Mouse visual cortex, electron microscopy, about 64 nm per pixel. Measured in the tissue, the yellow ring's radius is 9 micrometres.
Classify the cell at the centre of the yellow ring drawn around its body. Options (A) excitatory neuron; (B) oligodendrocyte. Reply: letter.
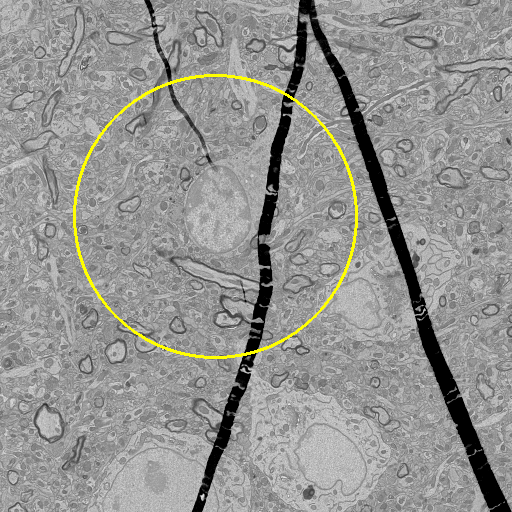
B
